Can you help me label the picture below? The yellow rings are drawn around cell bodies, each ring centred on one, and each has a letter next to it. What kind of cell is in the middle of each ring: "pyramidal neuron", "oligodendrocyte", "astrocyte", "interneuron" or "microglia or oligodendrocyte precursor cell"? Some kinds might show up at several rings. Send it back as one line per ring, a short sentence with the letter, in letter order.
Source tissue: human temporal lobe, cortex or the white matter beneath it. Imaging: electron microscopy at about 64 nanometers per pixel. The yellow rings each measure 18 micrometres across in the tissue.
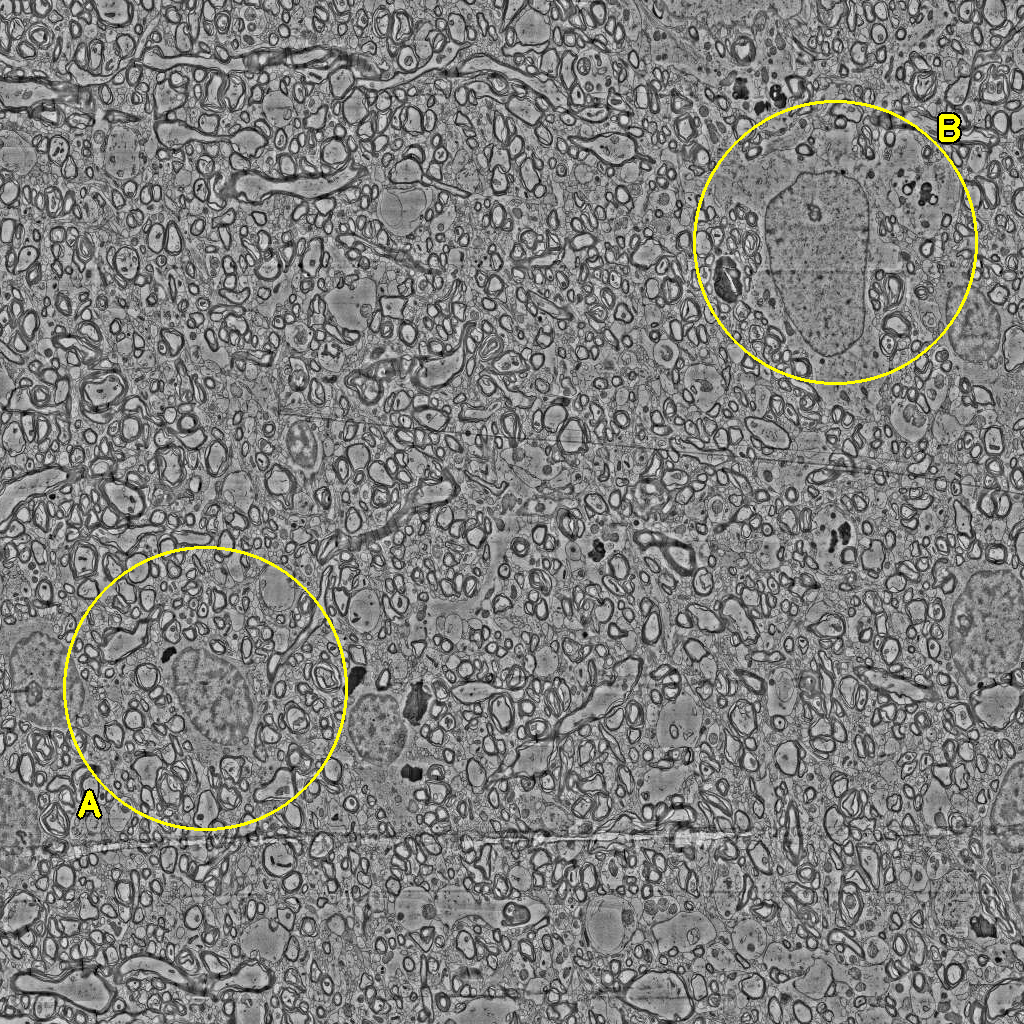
Ring A has an oligodendrocyte in the middle.
Ring B has an astrocyte in the middle.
